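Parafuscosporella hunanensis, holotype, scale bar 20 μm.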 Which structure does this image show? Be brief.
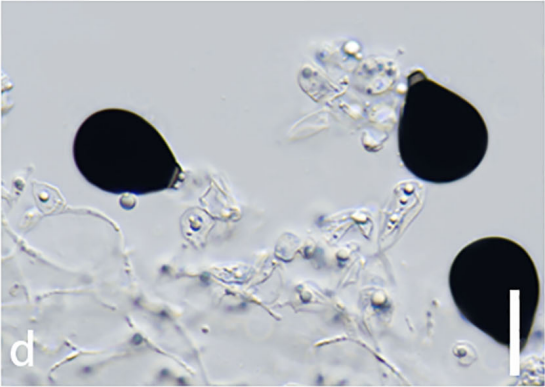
Conidiophores and conidiogenous cells bearing conidia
